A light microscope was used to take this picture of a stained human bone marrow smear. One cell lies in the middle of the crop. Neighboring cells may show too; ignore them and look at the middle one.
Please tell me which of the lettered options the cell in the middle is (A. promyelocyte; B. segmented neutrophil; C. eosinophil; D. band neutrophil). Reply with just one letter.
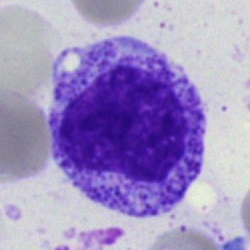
A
